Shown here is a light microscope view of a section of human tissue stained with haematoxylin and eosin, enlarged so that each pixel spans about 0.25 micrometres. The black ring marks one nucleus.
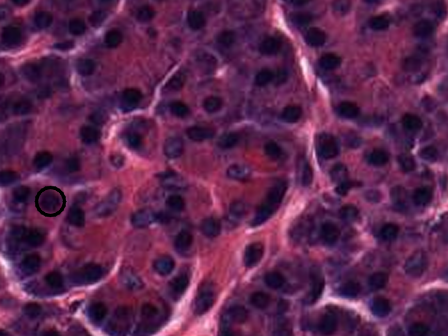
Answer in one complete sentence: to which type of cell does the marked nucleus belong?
Here the marked nucleus is part of a pancreatic acinar cell.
